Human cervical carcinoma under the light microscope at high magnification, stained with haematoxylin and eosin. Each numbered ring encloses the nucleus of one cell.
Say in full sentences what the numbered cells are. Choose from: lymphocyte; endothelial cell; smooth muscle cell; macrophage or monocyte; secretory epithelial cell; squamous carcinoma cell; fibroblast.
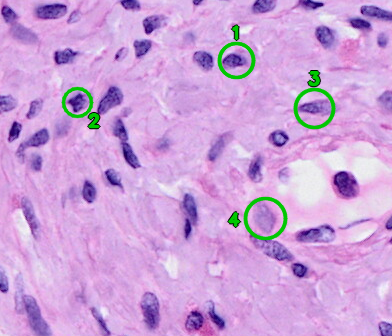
Cells 1 and 2 are fibroblasts. Cell 3 is a smooth muscle cell. Cell 4 is an endothelial cell.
